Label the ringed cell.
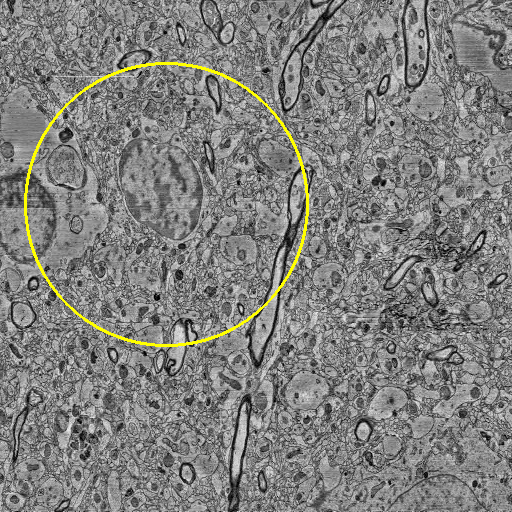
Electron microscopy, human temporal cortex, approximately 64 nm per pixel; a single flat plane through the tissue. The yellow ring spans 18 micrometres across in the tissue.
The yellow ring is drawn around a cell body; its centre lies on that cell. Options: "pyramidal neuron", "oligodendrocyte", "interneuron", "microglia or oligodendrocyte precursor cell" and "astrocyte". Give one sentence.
The ringed cell is a microglial cell or oligodendrocyte precursor cell.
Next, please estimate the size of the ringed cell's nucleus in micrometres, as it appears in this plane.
In this plane the nucleus measures roughly 7 by 5 micrometres.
